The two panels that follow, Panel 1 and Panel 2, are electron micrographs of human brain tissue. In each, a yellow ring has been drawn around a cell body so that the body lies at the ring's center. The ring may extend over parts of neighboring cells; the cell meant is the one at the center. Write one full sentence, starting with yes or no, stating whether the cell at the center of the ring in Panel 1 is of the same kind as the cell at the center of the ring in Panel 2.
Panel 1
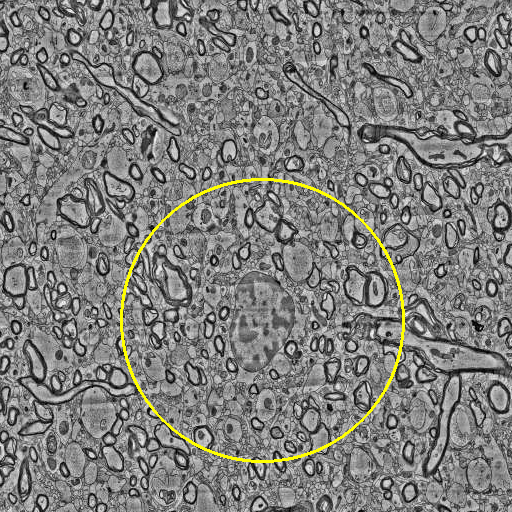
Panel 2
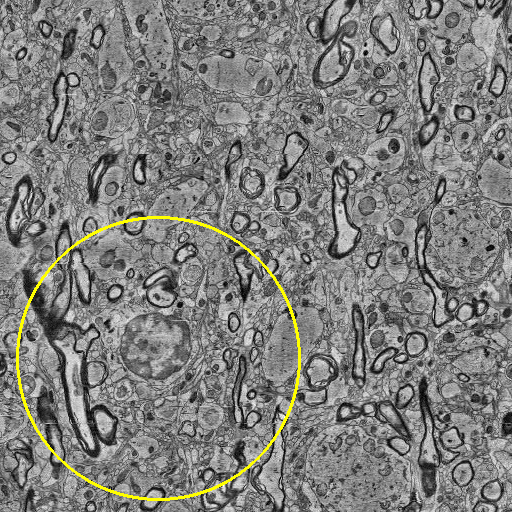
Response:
Yes, the cells in both panels are of the same kind.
